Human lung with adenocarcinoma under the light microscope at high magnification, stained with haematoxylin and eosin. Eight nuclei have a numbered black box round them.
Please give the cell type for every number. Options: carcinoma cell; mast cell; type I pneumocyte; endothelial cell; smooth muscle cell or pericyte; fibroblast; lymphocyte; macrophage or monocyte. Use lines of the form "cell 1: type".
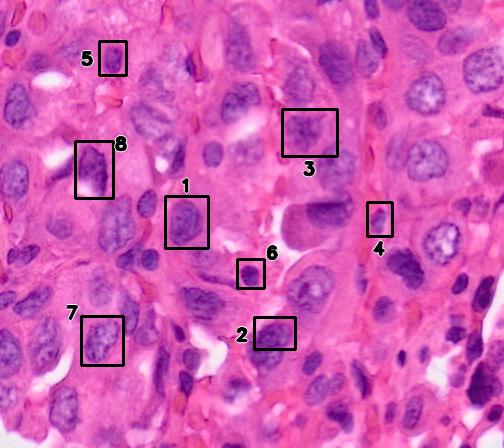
cell 1: carcinoma cell
cell 2: carcinoma cell
cell 3: carcinoma cell
cell 4: lymphocyte
cell 5: macrophage or monocyte
cell 6: lymphocyte
cell 7: carcinoma cell
cell 8: carcinoma cell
